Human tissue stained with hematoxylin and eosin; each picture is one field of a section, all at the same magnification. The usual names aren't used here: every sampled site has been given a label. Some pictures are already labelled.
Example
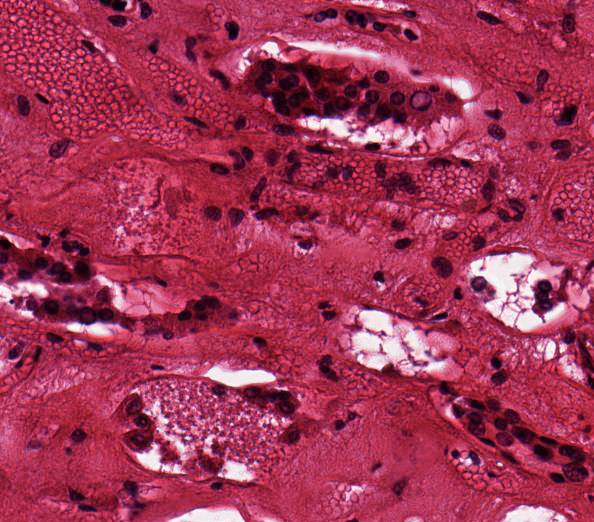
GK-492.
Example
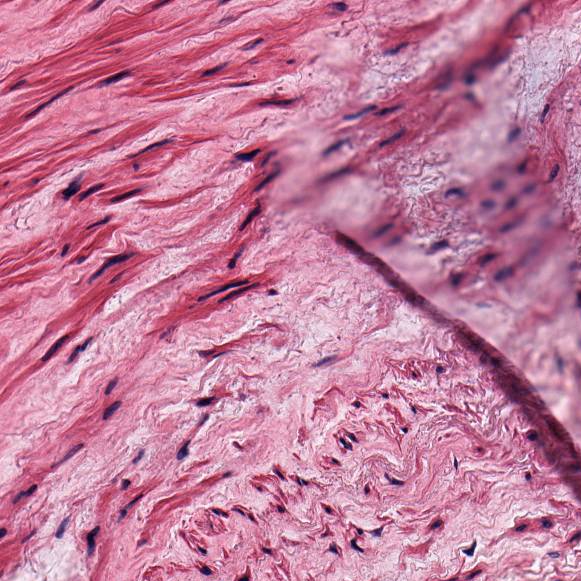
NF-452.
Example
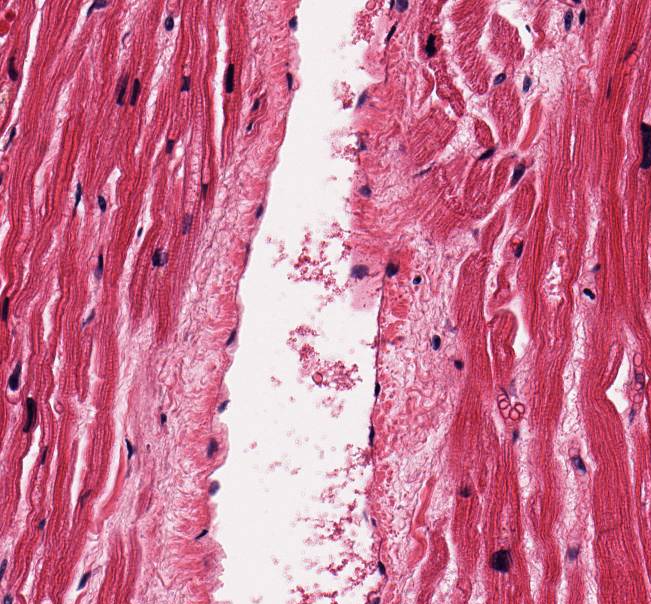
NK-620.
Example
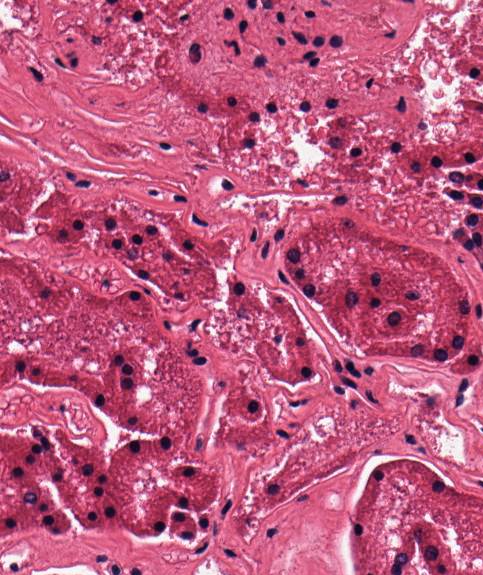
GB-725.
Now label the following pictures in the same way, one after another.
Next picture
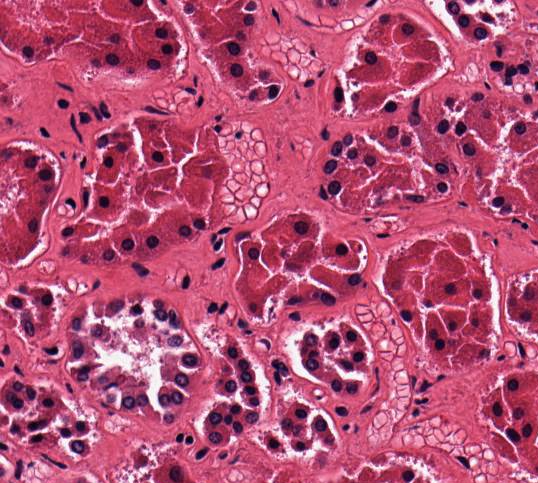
GB-725.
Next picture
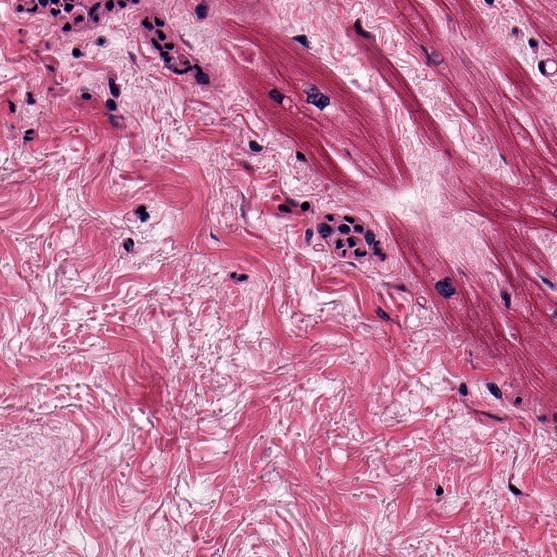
NK-620.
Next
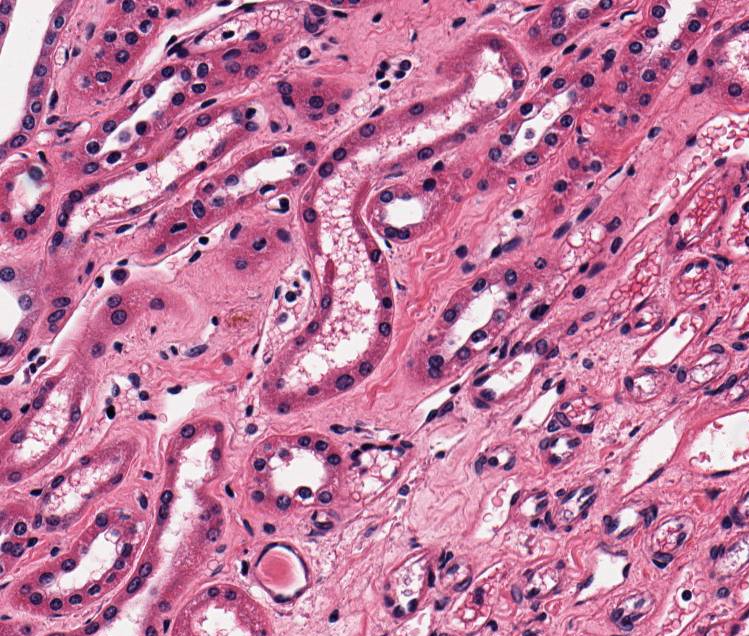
GK-492.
